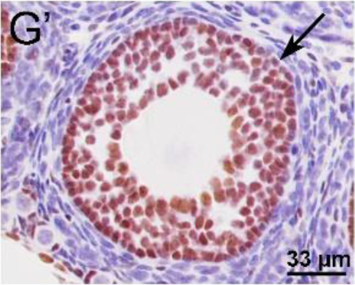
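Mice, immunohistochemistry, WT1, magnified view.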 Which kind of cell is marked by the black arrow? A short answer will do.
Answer: Granulosa cells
